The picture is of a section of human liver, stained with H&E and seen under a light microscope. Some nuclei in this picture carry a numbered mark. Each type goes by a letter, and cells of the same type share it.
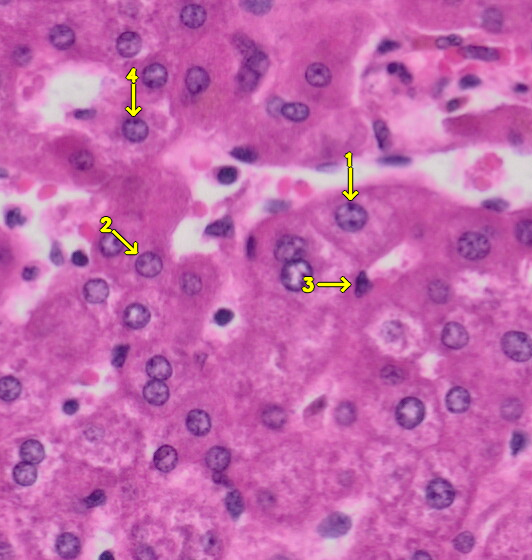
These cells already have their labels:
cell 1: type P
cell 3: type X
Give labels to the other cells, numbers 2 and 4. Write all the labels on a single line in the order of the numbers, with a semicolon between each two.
type P; type P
